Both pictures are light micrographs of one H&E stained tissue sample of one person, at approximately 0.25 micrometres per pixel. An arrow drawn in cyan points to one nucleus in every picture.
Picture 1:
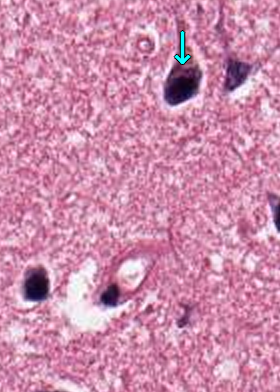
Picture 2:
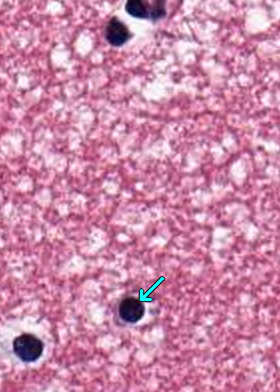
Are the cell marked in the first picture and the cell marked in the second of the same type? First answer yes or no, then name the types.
No, the first is a neuron and the second an oligodendrocyte.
